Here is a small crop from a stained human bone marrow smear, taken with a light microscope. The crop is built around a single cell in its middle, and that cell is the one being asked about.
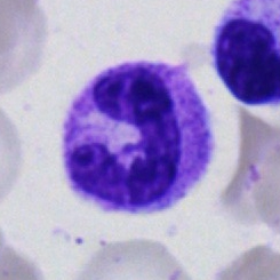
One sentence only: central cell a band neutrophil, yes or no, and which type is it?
Yes, the cell in the middle is rightly called a band neutrophil.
